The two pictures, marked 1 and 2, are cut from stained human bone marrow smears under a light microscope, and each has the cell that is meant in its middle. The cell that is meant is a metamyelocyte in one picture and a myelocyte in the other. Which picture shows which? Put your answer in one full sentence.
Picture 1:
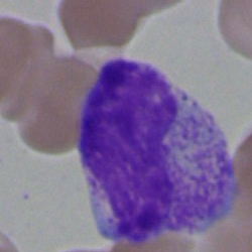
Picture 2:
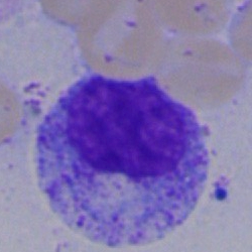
It is picture 1 that shows a metamyelocyte, and picture 2 that shows a myelocyte.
